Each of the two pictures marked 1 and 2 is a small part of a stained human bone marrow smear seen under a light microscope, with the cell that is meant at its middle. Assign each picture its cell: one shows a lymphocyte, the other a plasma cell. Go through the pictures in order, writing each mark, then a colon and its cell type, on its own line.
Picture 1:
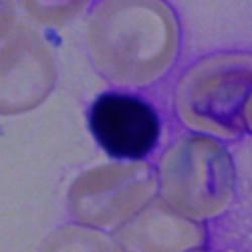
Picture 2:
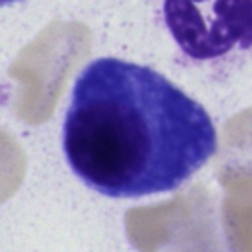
1: lymphocyte
2: plasma cell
